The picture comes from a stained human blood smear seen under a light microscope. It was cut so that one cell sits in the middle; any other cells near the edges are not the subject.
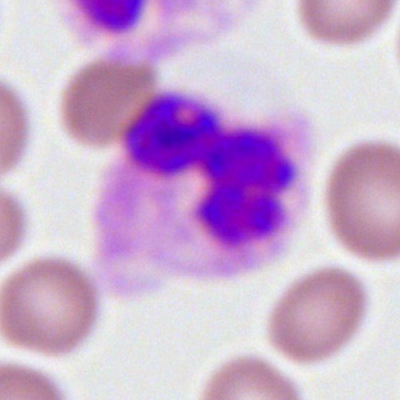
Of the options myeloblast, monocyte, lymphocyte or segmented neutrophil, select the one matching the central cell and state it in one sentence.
In this smear crop, the middle cell is a segmented neutrophil.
